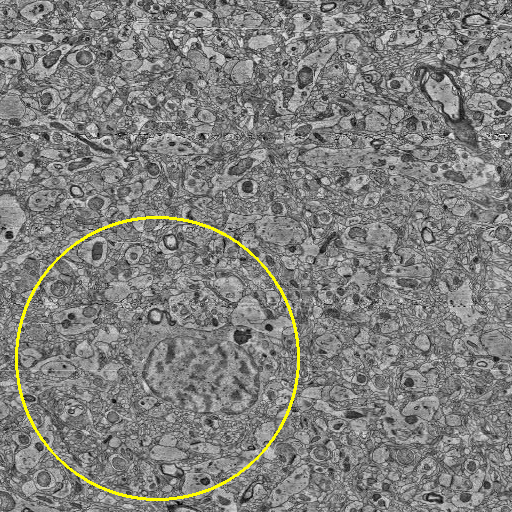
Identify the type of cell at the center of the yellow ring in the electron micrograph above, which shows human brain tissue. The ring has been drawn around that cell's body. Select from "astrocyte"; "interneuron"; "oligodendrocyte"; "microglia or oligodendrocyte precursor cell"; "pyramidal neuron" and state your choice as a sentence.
The yellow ring is centered on the body of an oligodendrocyte.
